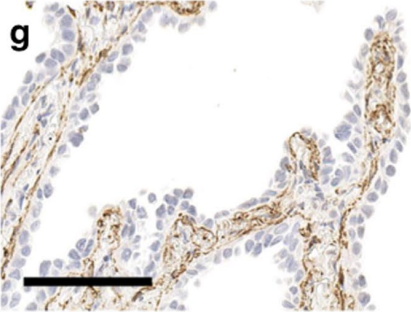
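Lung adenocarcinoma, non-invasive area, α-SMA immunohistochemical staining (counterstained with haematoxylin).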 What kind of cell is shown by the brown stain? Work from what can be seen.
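Brown stain fills elongated spindle cells within the septa. The lining epithelial cells on the septa surface are unstained. That points to this answer: fibroblasts.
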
